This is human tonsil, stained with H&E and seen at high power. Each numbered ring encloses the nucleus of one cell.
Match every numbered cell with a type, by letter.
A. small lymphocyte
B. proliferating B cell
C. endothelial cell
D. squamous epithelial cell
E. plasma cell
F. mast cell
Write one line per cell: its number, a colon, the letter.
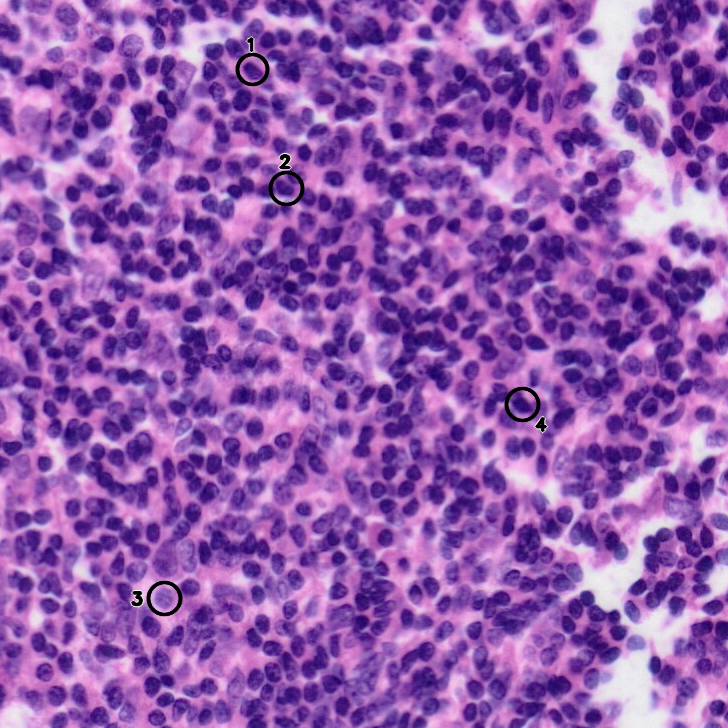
1: A
2: A
3: B
4: A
